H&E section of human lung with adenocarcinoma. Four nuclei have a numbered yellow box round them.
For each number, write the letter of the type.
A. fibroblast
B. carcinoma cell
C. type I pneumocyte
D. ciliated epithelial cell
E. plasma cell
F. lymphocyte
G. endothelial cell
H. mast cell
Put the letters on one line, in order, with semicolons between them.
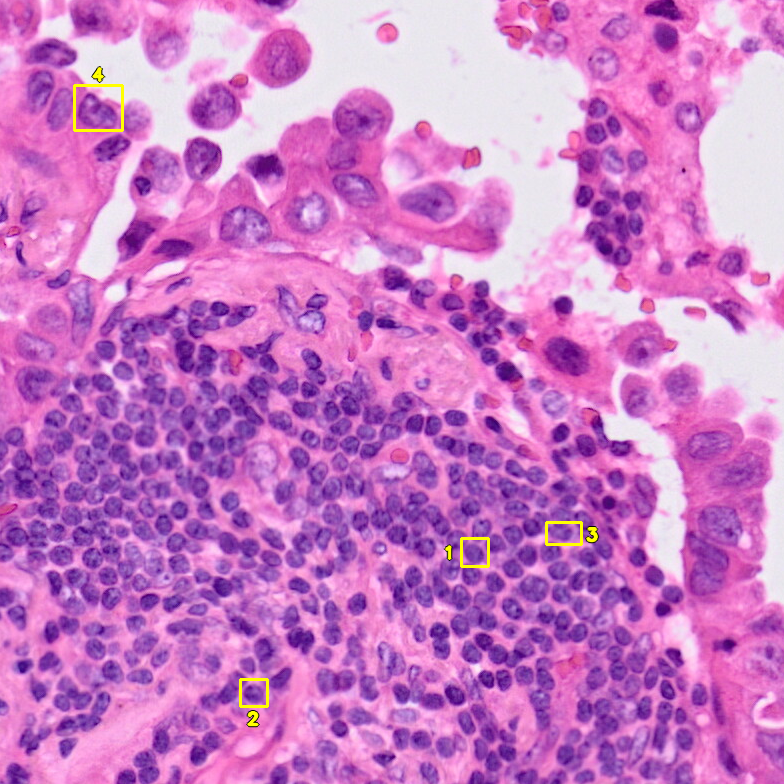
F; F; F; B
